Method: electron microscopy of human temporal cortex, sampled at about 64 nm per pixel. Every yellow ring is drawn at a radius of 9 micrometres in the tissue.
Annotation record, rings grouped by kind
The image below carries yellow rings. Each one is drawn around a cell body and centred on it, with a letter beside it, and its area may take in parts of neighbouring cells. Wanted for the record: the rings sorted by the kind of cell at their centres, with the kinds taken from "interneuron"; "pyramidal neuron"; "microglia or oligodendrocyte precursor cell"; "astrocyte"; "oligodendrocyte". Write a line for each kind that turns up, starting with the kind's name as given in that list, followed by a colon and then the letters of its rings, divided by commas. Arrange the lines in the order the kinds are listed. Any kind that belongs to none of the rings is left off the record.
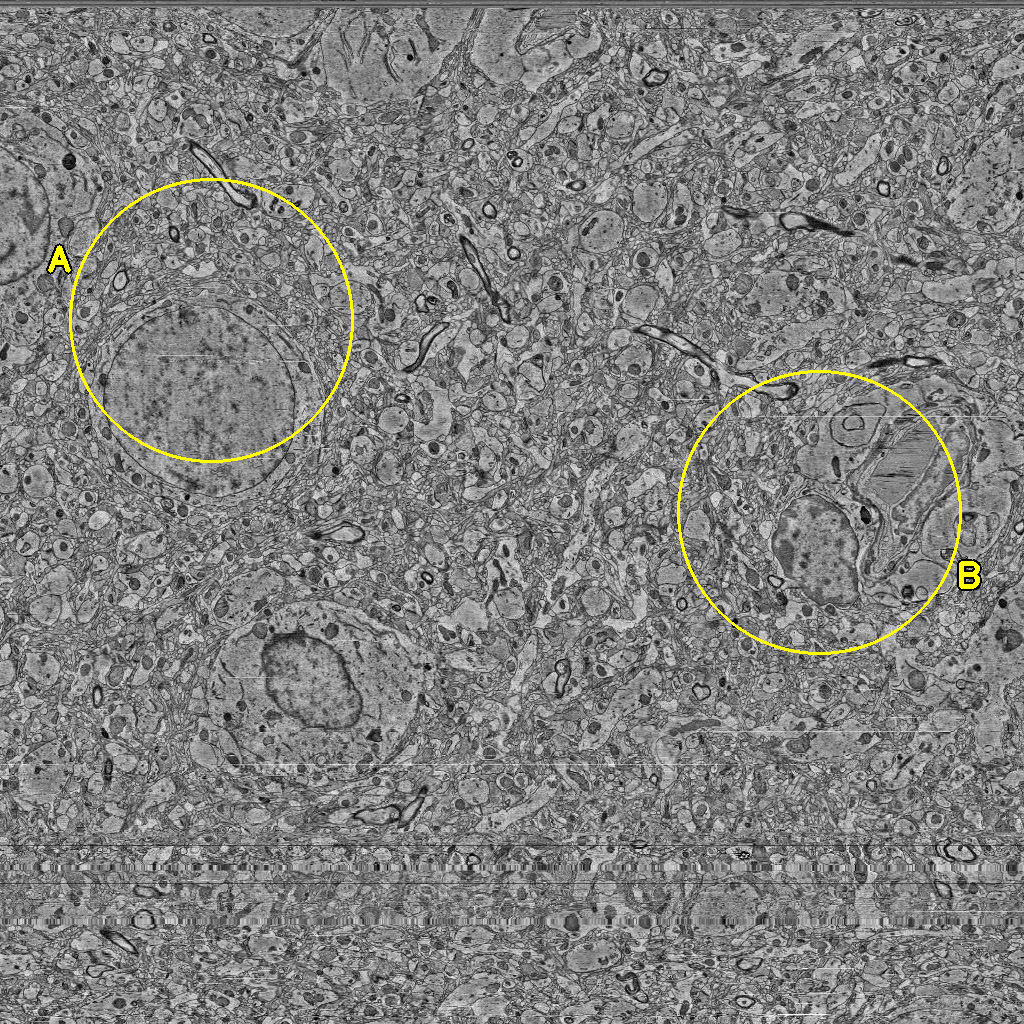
pyramidal neuron: A
microglia or oligodendrocyte precursor cell: B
